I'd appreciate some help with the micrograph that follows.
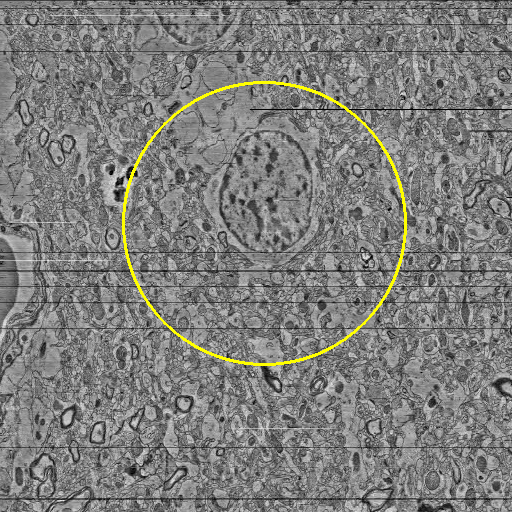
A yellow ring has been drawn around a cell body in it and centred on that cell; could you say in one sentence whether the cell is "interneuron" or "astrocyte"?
It is an astrocyte at the centre of the ring.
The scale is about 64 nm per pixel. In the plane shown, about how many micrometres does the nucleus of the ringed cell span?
Roughly 8 by 6 micrometres in this plane, for the nucleus of the ringed cell.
